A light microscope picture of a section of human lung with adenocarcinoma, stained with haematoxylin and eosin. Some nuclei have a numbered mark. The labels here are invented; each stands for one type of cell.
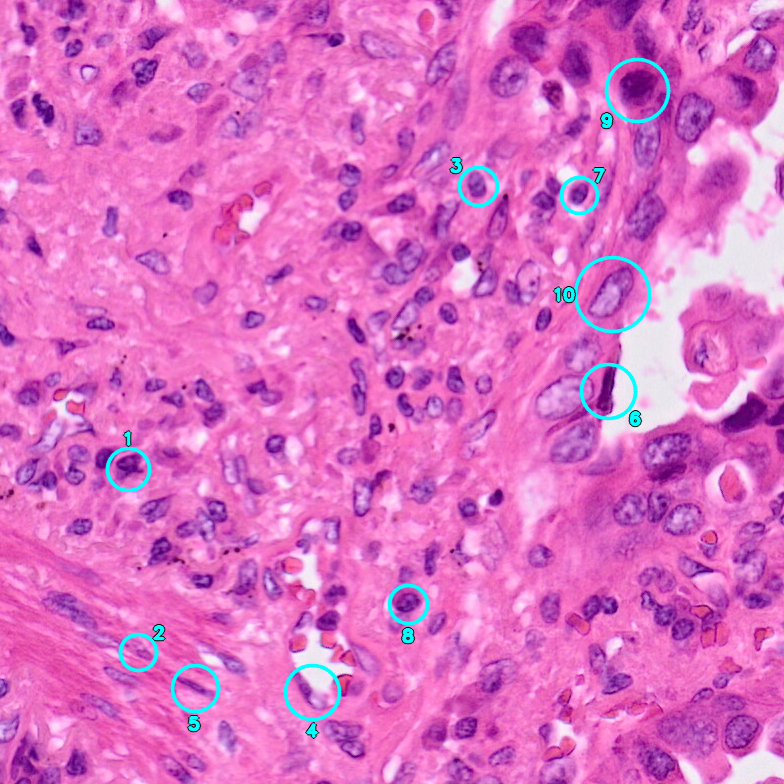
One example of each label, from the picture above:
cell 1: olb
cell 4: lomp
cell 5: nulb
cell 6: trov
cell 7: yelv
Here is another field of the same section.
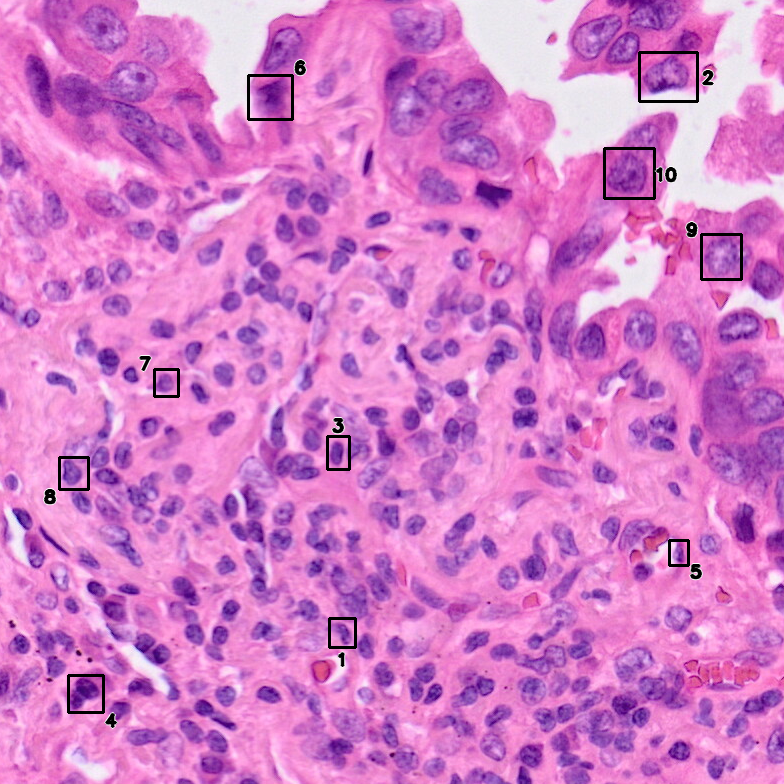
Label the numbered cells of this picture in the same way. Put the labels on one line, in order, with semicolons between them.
yelv; trov; yelv; olb; lomp; trov; olb; yelv; trov; trov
